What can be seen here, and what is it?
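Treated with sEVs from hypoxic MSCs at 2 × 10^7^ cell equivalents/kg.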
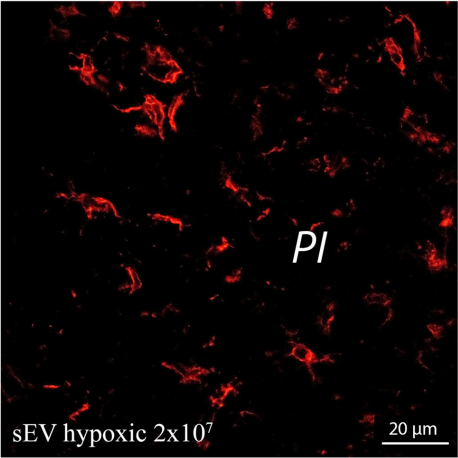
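The cells are spread fairly evenly over the field with dark space between most of them. The red outlines are delicate and lace-like rather than solid.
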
